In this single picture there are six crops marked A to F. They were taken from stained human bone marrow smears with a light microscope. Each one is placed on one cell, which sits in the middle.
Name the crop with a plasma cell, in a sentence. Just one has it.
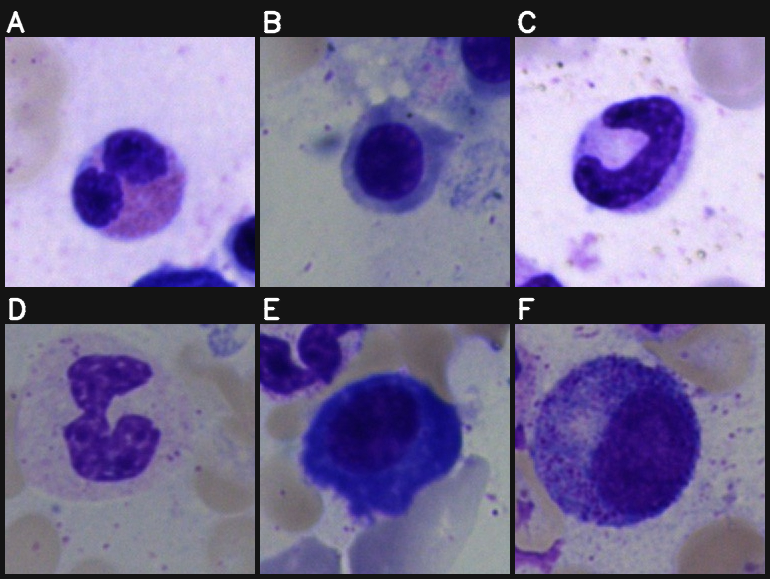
The crop marked E is the one in which a plasma cell is shown.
